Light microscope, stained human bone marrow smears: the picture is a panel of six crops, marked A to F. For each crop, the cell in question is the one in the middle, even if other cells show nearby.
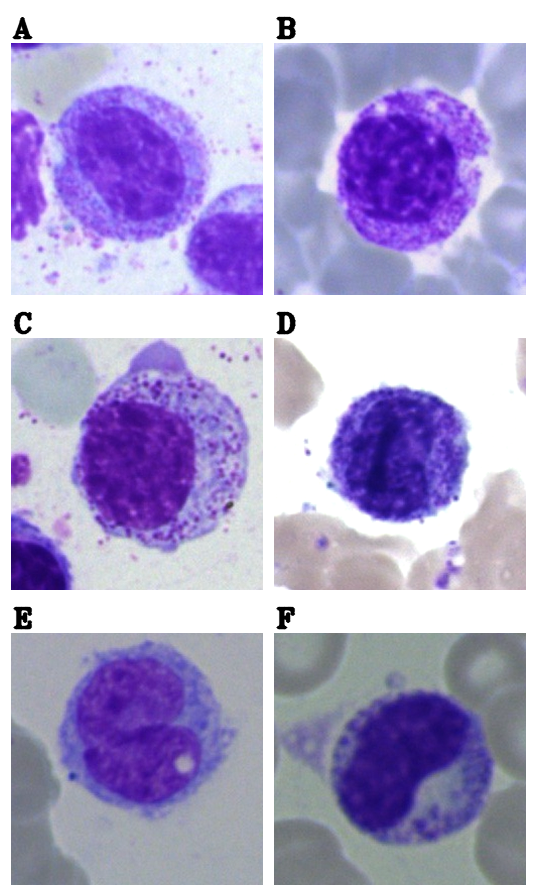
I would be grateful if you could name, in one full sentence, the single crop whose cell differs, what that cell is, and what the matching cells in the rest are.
Crop E, showing a monocyte, is the exception; the others all show myelocytes.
